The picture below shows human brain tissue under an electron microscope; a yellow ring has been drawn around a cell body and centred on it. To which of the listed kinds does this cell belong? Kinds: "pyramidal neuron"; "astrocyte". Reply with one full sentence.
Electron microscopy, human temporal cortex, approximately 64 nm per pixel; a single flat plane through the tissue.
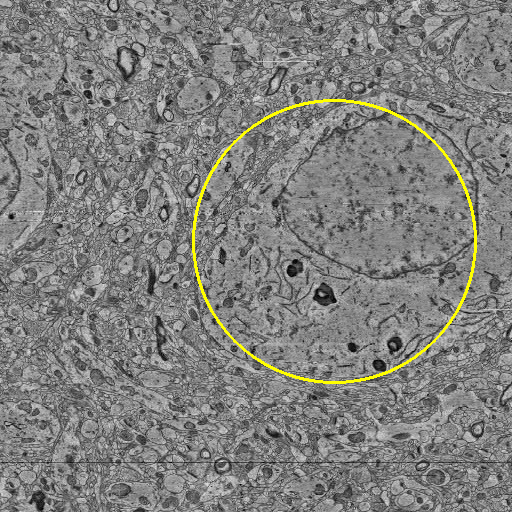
It is a pyramidal neuron that the yellow ring in the picture is centred on.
